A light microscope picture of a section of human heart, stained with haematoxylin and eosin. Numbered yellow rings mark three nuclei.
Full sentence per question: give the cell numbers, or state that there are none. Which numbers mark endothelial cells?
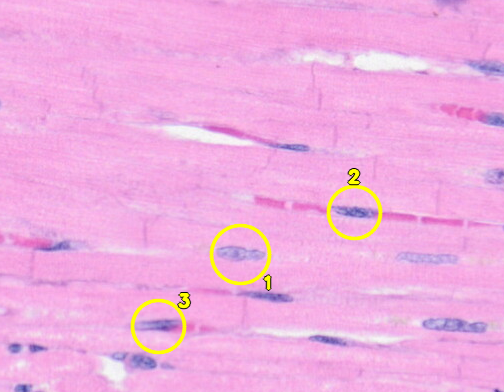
The cells that have been numbered 2 and 3 are endothelial cells.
